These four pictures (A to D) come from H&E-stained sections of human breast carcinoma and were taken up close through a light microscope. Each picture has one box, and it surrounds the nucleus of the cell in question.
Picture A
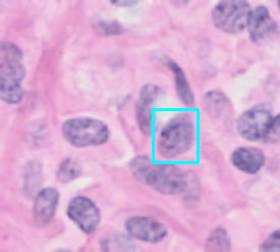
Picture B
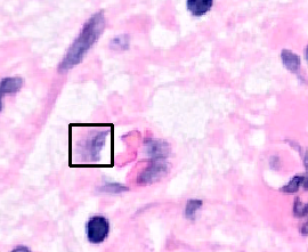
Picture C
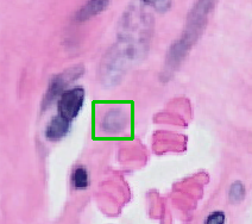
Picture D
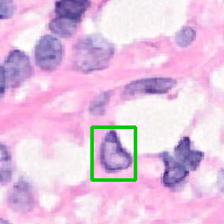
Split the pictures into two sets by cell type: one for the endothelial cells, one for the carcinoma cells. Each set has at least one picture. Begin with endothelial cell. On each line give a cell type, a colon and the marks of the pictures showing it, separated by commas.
endothelial cell: B, C
carcinoma cell: A, D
